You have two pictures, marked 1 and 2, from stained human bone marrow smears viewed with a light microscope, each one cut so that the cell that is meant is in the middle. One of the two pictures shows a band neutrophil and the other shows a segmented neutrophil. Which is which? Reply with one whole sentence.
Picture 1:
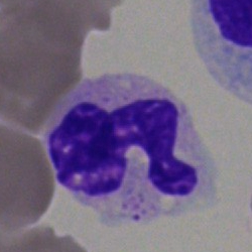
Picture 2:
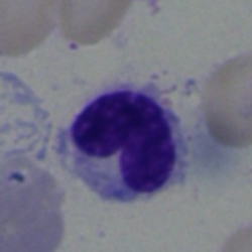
It is picture 1 that shows a segmented neutrophil, and picture 2 that shows a band neutrophil.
